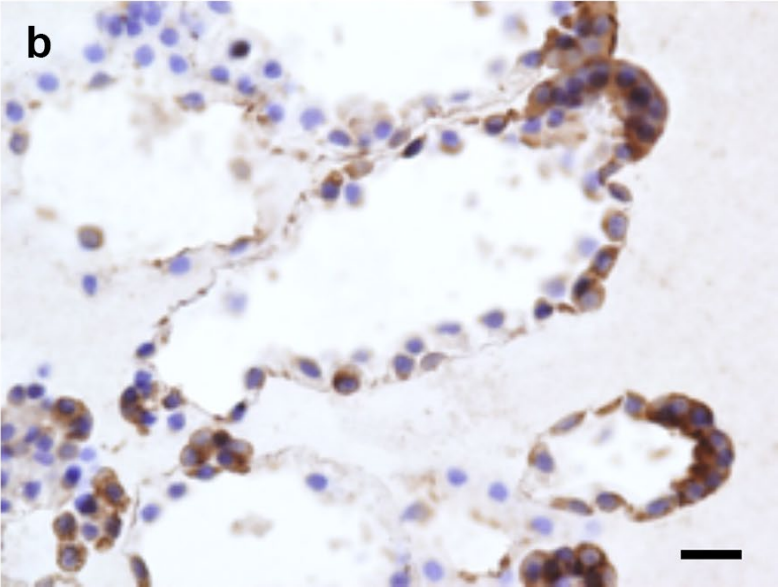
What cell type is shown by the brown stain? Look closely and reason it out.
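Brown stain fills cells with round nuclei and ample cytoplasm. The stained cells sit in clusters and rows at the edges of the spaces. Thin flat lining cells are mostly weak or unstained.
Conclusion: cuboidal cells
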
